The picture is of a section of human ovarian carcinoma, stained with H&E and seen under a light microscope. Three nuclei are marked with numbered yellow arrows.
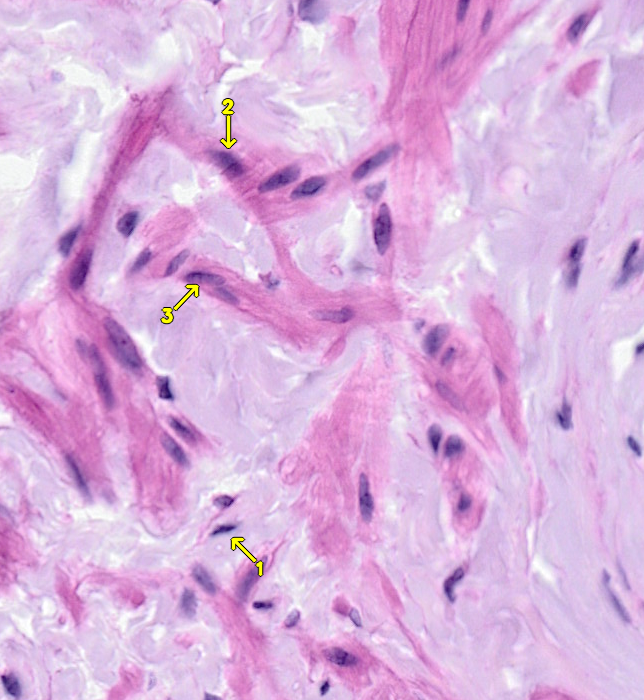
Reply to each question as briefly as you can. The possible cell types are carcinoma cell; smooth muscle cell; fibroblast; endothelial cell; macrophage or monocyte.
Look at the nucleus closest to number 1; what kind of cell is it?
macrophage or monocyte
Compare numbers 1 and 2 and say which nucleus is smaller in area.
1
